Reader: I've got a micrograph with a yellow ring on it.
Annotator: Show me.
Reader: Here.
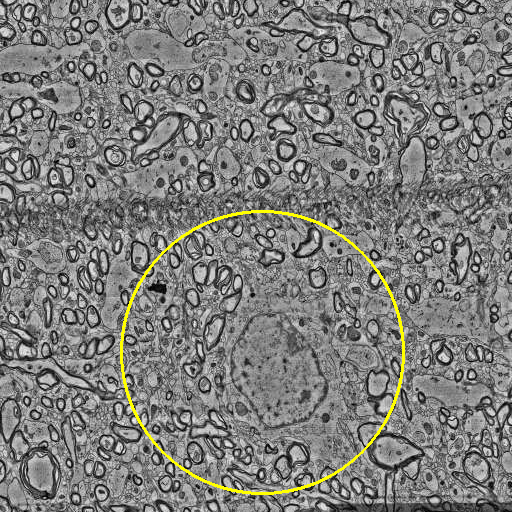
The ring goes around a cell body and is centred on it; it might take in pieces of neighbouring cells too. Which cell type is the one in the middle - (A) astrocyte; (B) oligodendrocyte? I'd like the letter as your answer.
A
